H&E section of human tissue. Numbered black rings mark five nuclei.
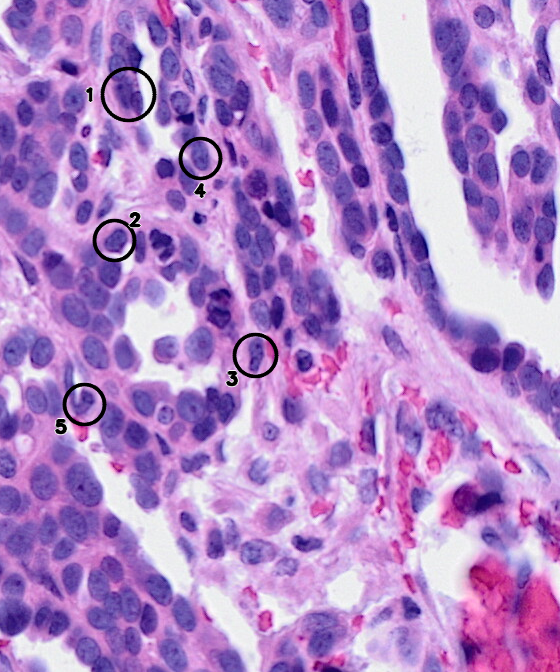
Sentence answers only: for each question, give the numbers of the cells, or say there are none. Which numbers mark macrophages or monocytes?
Within this tissue, the cells numbered 3 and 5 are macrophages or monocytes.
